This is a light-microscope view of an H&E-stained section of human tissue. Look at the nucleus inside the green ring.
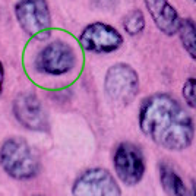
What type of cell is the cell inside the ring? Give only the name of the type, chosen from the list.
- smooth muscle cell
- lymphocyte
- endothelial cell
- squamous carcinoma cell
squamous carcinoma cell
